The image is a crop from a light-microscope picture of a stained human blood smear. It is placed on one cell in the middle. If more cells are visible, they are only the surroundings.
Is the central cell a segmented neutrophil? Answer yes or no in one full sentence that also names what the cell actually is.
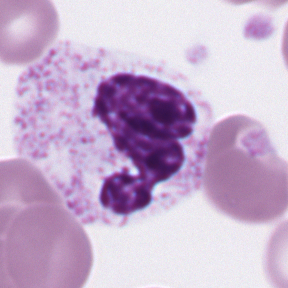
Yes, the middle cell in this crop is a segmented neutrophil.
